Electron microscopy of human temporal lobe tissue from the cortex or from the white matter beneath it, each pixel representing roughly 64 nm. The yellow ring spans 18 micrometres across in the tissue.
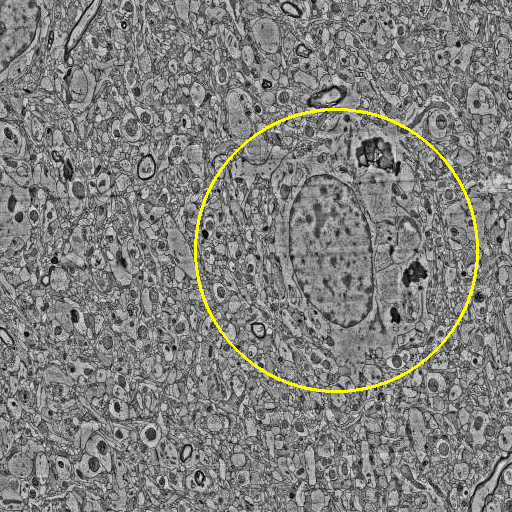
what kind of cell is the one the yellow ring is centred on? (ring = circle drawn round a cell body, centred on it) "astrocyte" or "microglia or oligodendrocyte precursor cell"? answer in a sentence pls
The ring is drawn around an astrocyte.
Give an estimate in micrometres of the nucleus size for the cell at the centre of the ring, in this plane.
Roughly 10 by 5 micrometers, clearly longer than it is wide in this plane.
